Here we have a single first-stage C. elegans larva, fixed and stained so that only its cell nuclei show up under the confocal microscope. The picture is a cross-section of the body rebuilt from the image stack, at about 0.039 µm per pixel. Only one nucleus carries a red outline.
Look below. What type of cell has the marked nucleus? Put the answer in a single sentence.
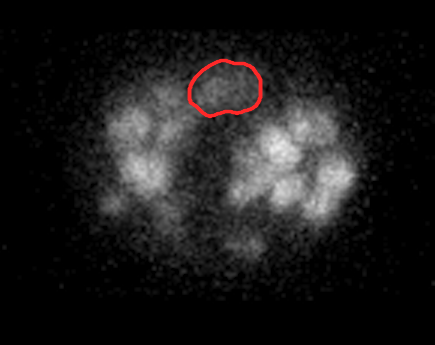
The marked cell is a hypodermal cell (hyp).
